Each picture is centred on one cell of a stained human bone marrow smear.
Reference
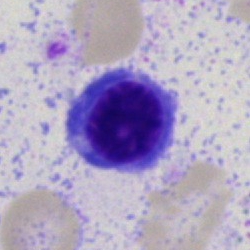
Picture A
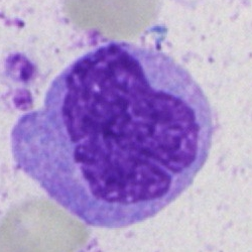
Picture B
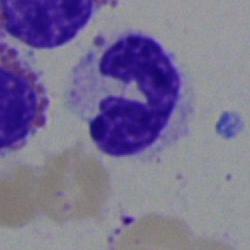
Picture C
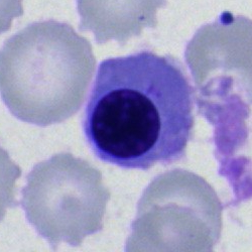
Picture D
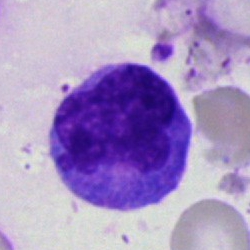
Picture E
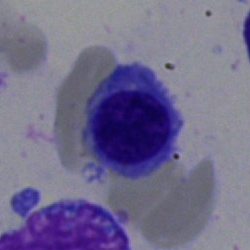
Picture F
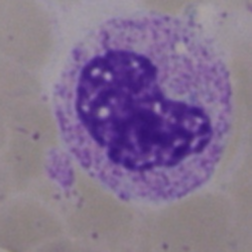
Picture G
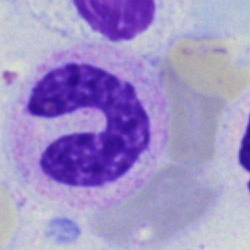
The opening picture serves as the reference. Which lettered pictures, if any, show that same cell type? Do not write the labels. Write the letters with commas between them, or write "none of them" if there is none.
C, E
